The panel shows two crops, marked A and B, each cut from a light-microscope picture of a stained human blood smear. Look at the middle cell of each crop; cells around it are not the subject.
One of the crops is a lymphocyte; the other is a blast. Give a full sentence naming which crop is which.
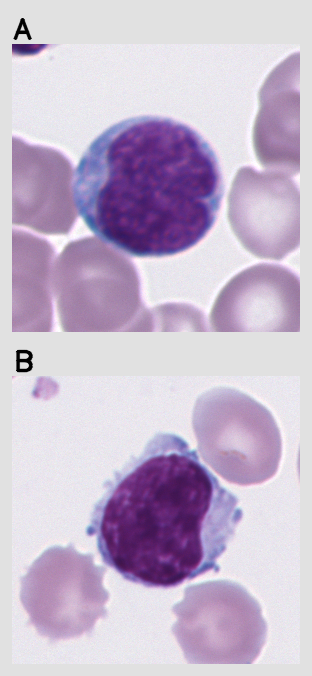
So, crop A is a blast, and crop B is a lymphocyte.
